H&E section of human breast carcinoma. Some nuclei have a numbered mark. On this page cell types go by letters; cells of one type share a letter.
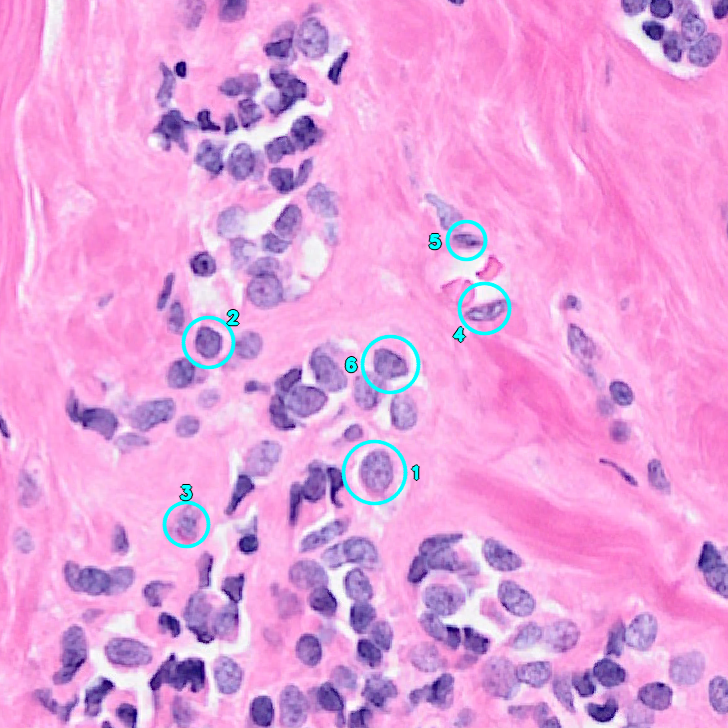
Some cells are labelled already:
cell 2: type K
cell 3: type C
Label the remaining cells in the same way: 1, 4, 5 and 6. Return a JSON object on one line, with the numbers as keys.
{"1": "type K", "4": "type C", "5": "type C", "6": "type K"}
